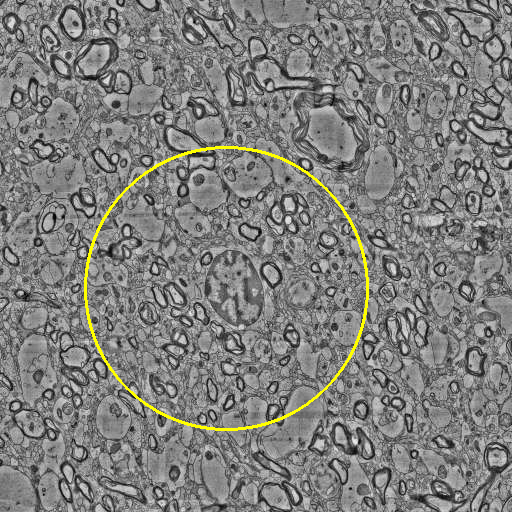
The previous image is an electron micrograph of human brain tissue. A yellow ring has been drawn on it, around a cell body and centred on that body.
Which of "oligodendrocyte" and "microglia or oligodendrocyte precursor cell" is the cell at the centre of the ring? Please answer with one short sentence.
The cell body at the centre of the ring belongs to a microglial cell or oligodendrocyte precursor cell.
